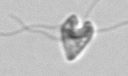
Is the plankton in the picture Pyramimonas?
Yes, it is Pyramimonas.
